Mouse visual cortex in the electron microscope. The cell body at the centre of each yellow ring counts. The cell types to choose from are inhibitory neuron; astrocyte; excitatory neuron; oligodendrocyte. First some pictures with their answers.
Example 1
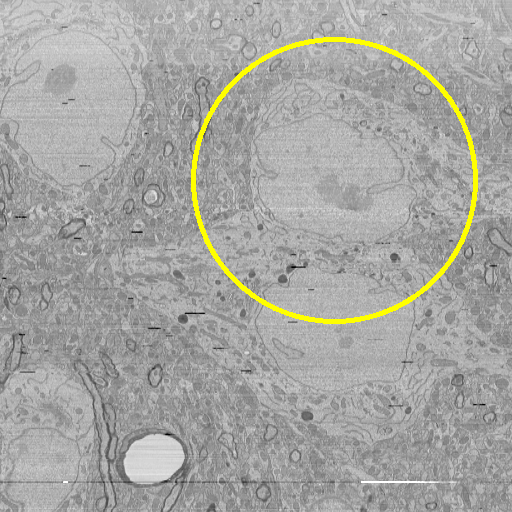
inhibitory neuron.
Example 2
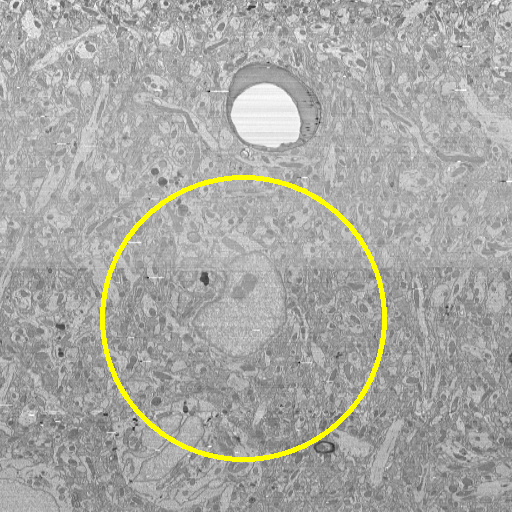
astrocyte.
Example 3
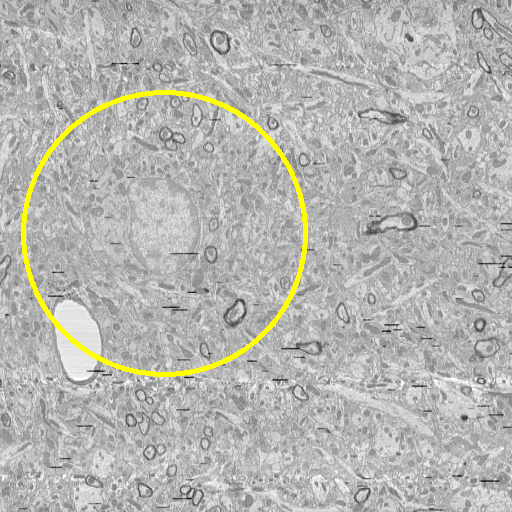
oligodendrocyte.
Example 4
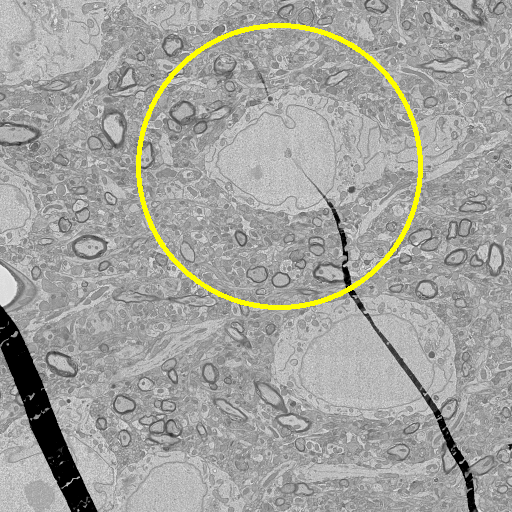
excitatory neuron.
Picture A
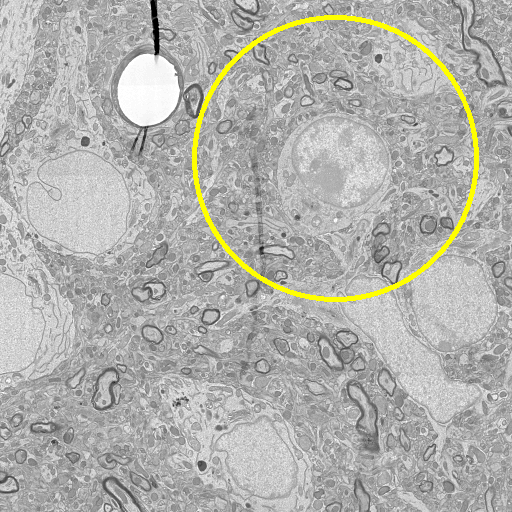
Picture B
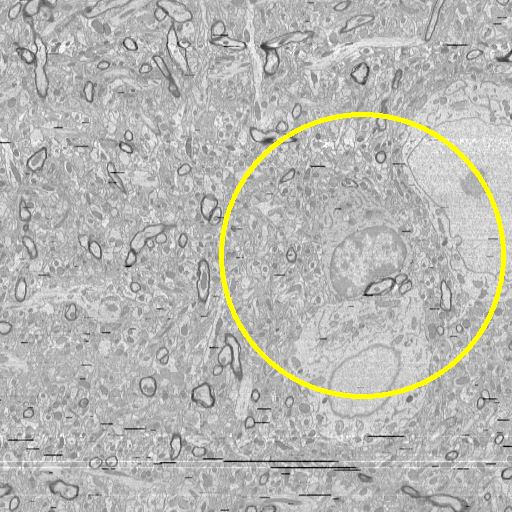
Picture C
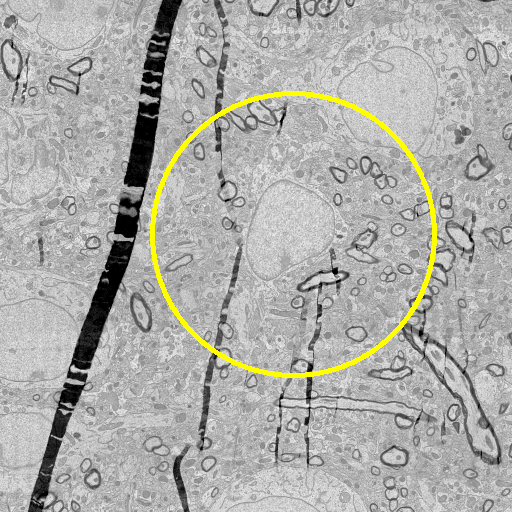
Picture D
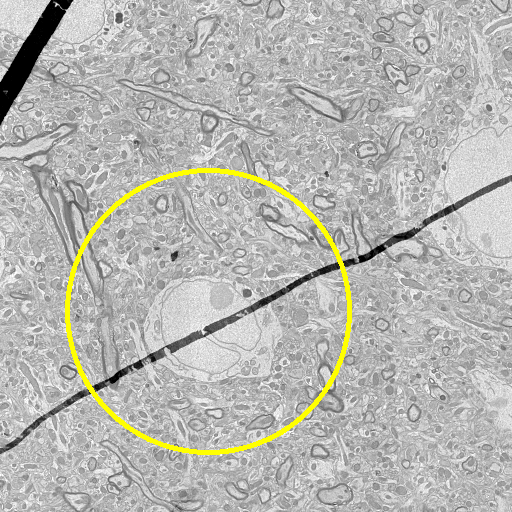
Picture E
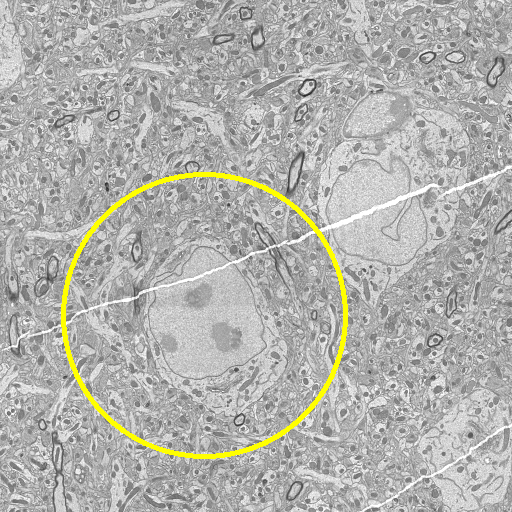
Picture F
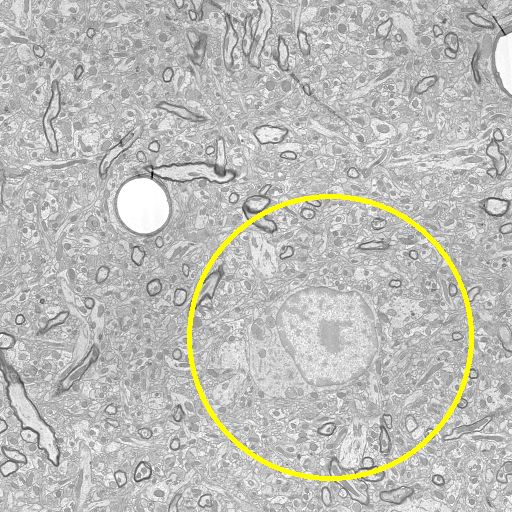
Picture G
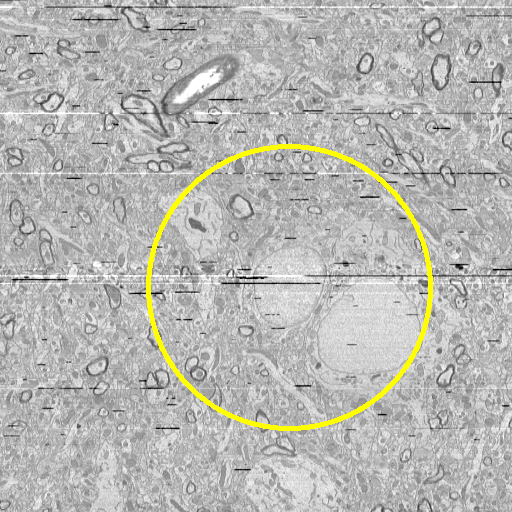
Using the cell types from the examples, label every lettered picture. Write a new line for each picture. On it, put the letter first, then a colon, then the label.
A: oligodendrocyte.
B: oligodendrocyte.
C: astrocyte.
D: excitatory neuron.
E: excitatory neuron.
F: oligodendrocyte.
G: astrocyte.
